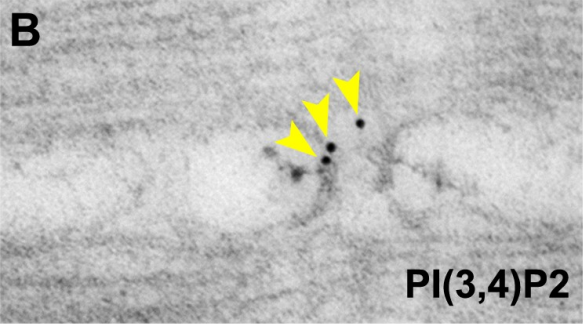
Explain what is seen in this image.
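This electron micrograph shows skeletal muscle at a triad, the junction where a transverse tubule meets the sarcoplasmic reticulum. Pale, rounded, membrane-bound profiles lie side by side across the middle of the field, with a thin dark membrane line running between two of them. Small, very dense black round dots sit in a short cluster along the membranes at this junction. Behind it all, fine parallel filaments of the contractile apparatus run horizontally across the field.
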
